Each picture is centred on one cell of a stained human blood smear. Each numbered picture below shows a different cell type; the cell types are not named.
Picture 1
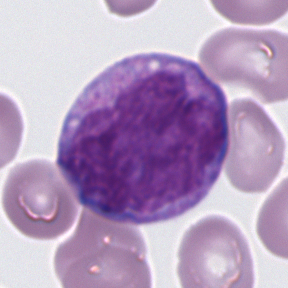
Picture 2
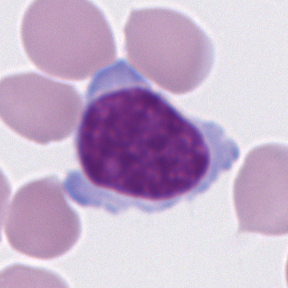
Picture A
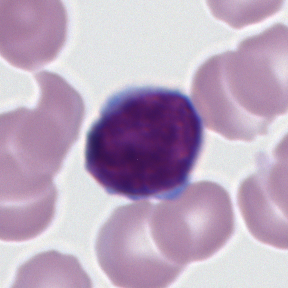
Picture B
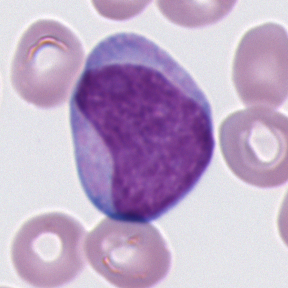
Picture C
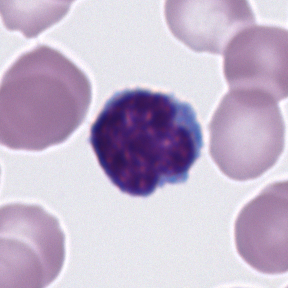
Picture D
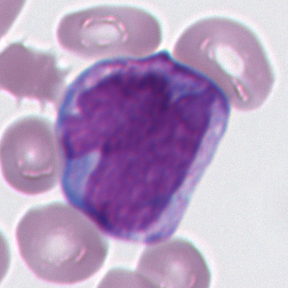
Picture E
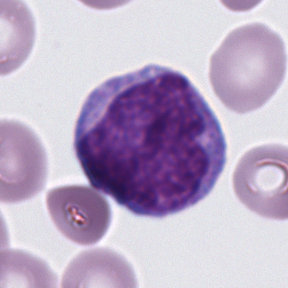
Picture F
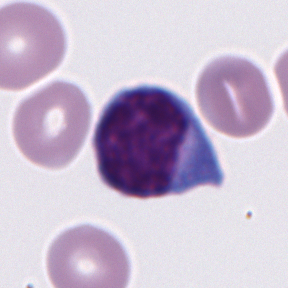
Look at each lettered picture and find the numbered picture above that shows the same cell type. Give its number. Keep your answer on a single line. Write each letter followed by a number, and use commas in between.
A 2, B 1, C 2, D 1, E 1, F 2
